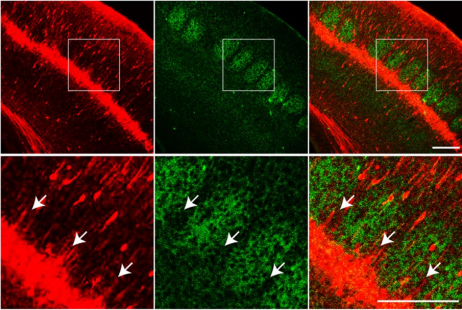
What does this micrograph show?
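Cerebral cortex with pyramidal neurons stained red and a row of rounded green patches, the barrels, in the layer above them. The red cell bodies are packed in a bright band with an uneven, serrated upper edge, and many send a single long dendrite up toward the surface, passing through the darker septa between the green patches.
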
